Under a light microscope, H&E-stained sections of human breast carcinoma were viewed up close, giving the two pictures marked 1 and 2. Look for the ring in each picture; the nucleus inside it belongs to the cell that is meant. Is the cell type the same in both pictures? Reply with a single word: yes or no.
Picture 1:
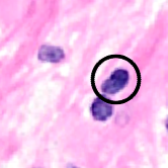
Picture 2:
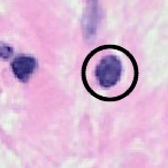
yes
